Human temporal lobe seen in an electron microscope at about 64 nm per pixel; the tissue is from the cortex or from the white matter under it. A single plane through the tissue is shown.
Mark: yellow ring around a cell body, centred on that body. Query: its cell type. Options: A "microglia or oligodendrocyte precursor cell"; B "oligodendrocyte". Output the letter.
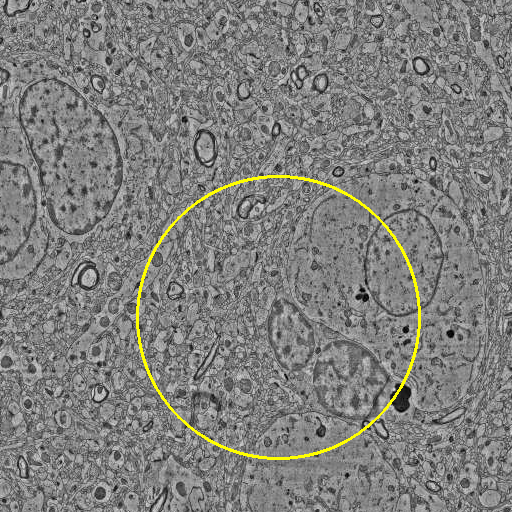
B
